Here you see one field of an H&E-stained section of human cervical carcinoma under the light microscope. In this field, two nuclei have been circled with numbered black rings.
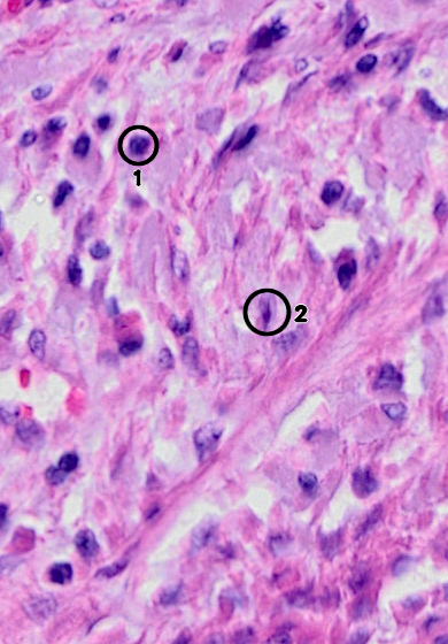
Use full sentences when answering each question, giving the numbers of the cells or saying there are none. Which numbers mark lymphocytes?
The sole numbered cell that is a lymphocyte is cell 1.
